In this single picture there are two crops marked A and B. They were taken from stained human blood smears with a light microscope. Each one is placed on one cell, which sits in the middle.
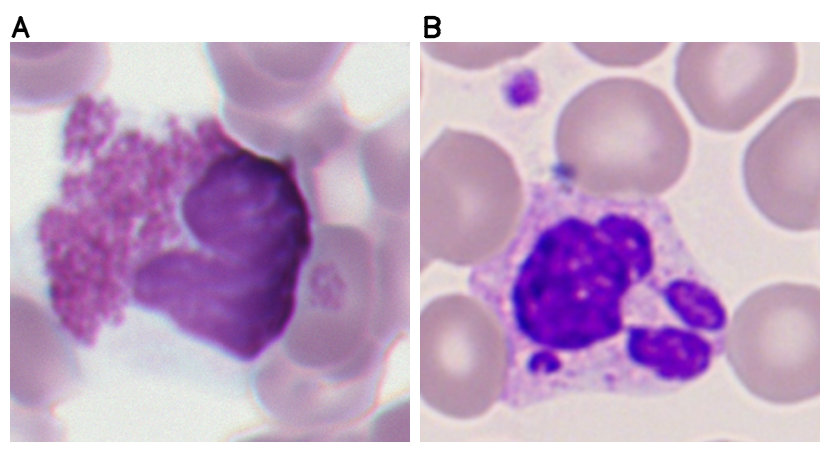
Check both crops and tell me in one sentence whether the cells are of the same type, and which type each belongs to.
No, crop A and crop B show an eosinophil and a basophil respectively.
